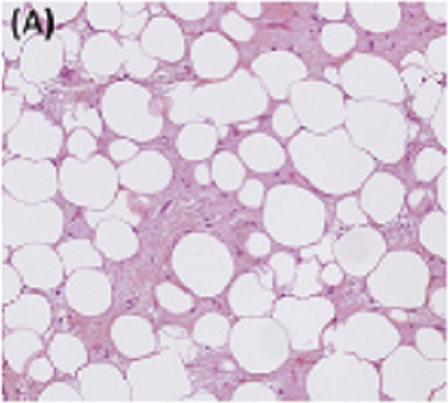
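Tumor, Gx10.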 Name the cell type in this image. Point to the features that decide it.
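Most of the field is filled by large, empty, rounded spaces. Each space is rimmed by a thin pink membrane. So: mature adipocytes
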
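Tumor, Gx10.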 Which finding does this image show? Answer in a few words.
Significant variation in cell size.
